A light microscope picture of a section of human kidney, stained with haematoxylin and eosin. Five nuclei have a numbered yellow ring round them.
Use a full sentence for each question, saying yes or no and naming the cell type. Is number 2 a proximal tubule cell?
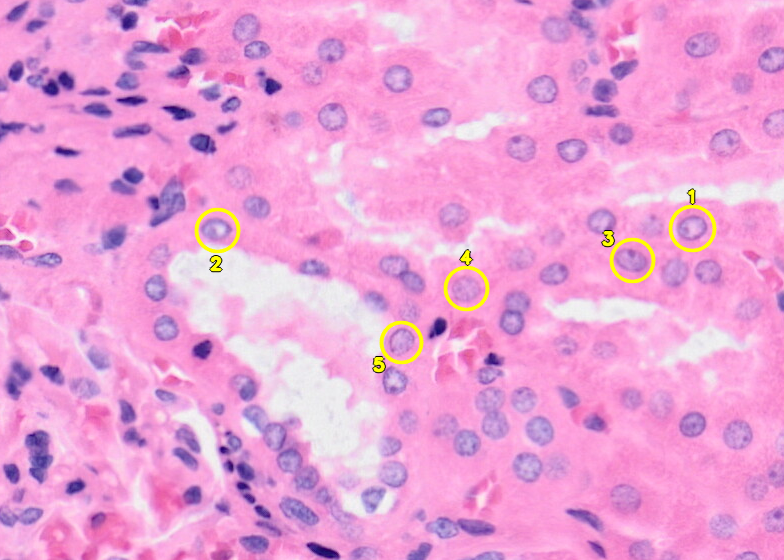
No, it is a loop of Henle or distal tubule cell that is marked with number 2, not a proximal tubule cell.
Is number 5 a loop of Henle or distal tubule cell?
Yes, the numbered nucleus 5 is that of a loop of Henle or distal tubule cell.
